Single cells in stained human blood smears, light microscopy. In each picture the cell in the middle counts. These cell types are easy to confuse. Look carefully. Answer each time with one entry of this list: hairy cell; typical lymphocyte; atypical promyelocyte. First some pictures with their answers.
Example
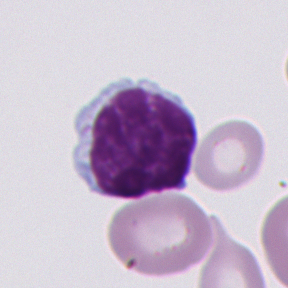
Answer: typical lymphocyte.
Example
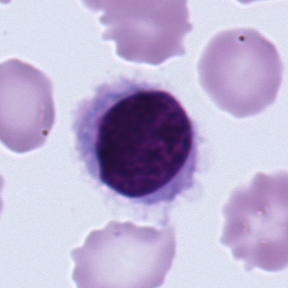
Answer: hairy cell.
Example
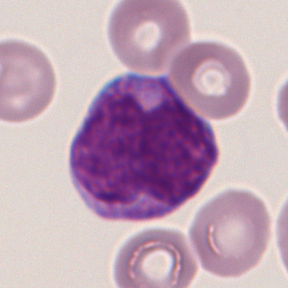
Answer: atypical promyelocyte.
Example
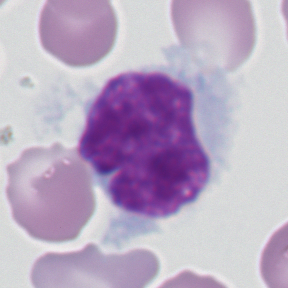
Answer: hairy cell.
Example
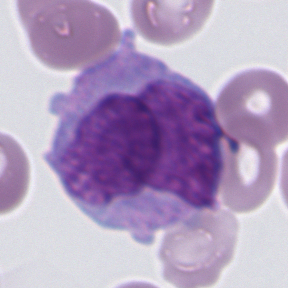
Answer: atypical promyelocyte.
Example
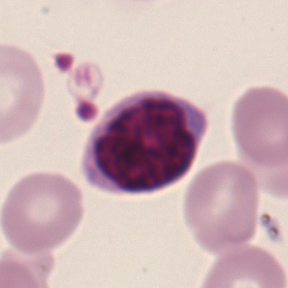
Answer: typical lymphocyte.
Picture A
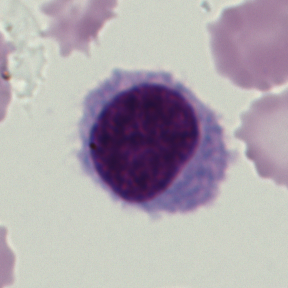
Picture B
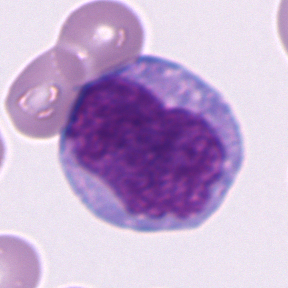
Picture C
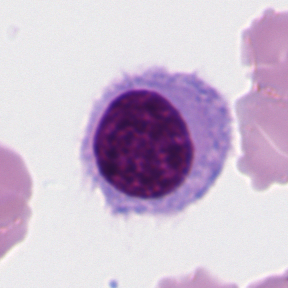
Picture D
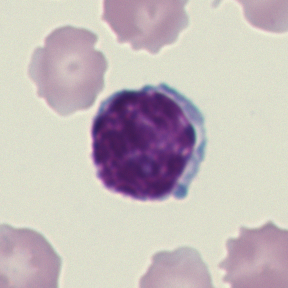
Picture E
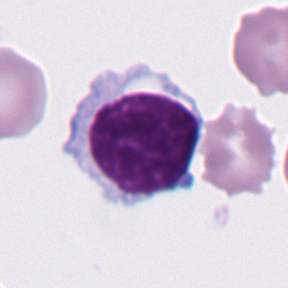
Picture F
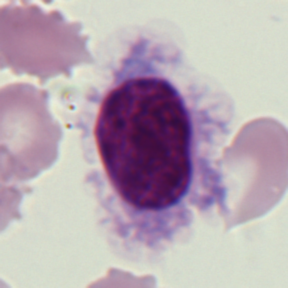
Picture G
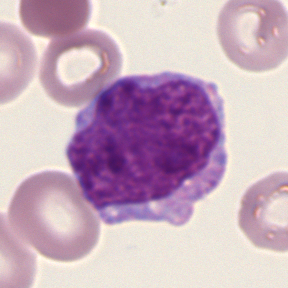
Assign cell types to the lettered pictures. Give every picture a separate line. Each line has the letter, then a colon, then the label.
A: hairy cell.
B: atypical promyelocyte.
C: hairy cell.
D: typical lymphocyte.
E: typical lymphocyte.
F: hairy cell.
G: atypical promyelocyte.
